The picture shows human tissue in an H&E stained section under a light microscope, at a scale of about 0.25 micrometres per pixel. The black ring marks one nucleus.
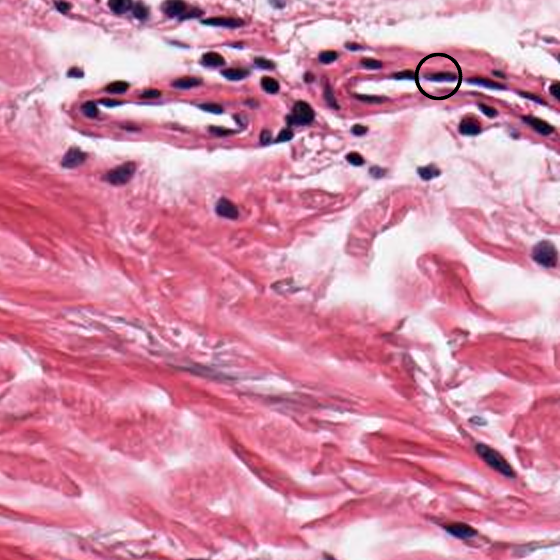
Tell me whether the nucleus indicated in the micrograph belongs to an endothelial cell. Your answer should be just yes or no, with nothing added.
yes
